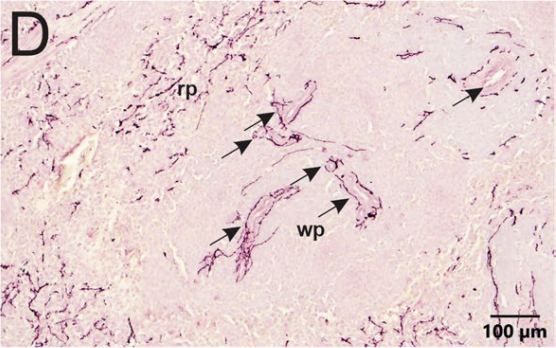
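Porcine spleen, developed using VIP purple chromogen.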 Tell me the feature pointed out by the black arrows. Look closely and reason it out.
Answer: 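Each arrow points to a small tubular vessel profile lying within the pale region. The vessel profiles are outlined by dark purple threads along their walls.
Hence: Central arterioles.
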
